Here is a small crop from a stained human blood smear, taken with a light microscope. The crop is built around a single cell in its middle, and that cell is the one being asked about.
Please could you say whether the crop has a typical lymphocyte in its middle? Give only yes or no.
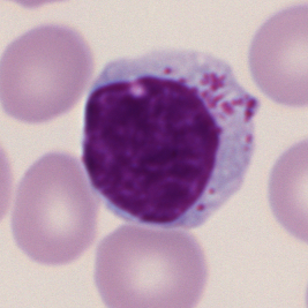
no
